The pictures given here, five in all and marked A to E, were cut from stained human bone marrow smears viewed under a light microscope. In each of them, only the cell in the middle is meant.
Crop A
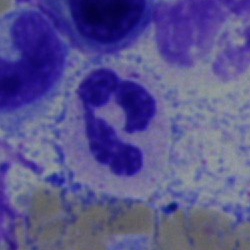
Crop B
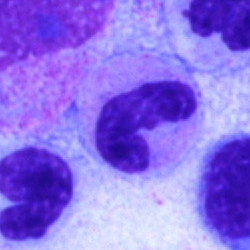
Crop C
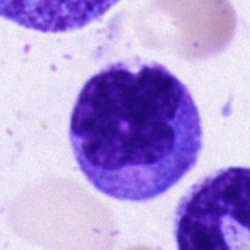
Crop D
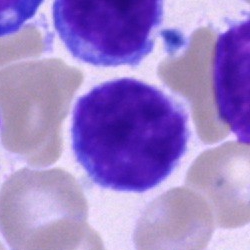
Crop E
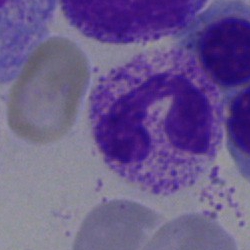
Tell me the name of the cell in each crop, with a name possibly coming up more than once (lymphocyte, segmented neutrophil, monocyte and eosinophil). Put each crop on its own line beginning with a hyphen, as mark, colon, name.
- A: segmented neutrophil
- B: segmented neutrophil
- C: monocyte
- D: lymphocyte
- E: segmented neutrophil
